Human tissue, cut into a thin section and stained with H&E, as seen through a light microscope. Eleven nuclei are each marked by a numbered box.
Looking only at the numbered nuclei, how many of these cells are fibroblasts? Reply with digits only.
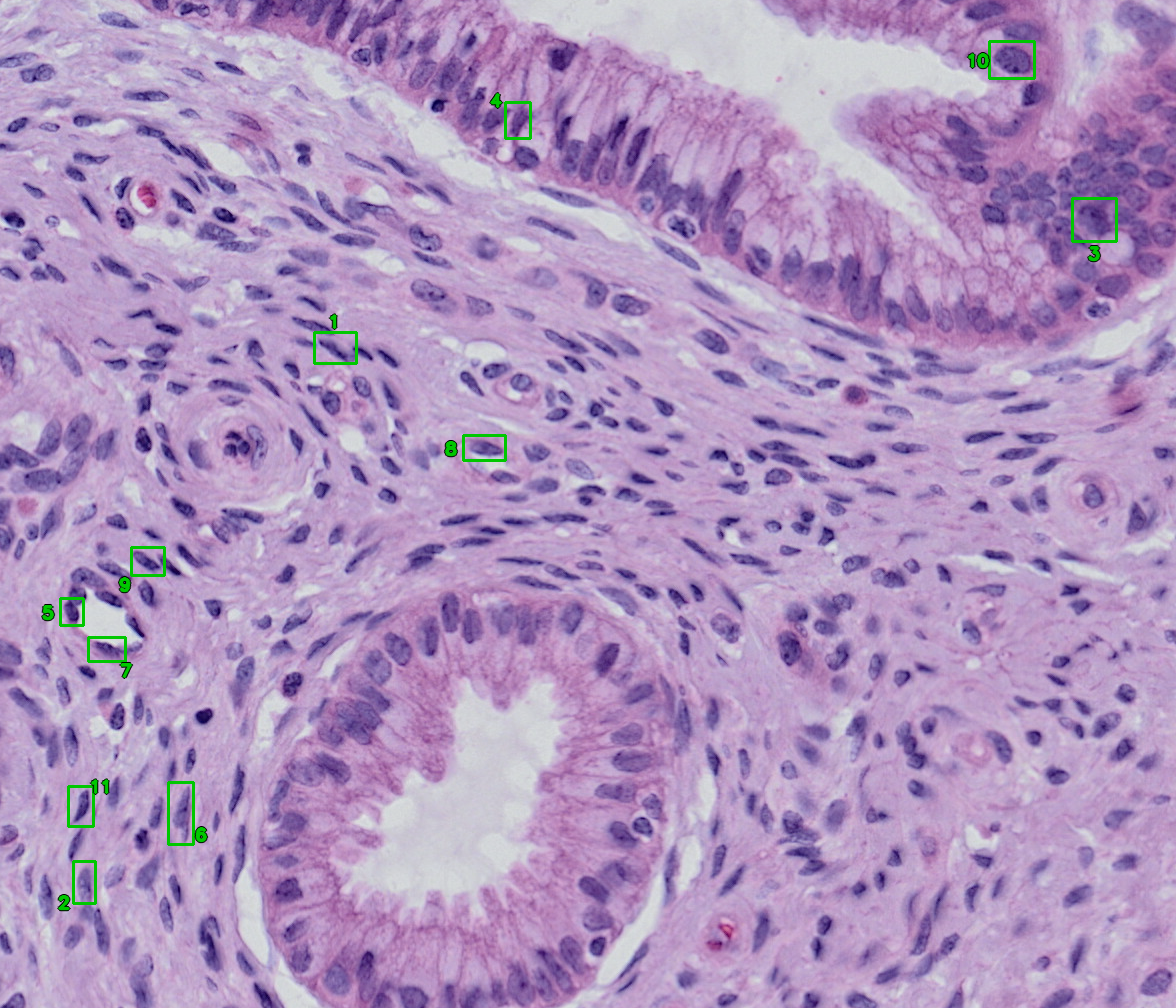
5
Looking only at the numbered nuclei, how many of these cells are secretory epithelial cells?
3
